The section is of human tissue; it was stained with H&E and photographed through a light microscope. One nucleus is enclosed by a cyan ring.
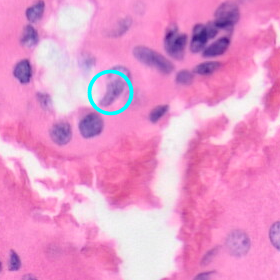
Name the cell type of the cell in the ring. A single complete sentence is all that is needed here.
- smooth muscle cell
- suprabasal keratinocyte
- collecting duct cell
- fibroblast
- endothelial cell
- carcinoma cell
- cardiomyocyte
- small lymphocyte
On this particular slide, the cell in the ring is a collecting duct cell.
